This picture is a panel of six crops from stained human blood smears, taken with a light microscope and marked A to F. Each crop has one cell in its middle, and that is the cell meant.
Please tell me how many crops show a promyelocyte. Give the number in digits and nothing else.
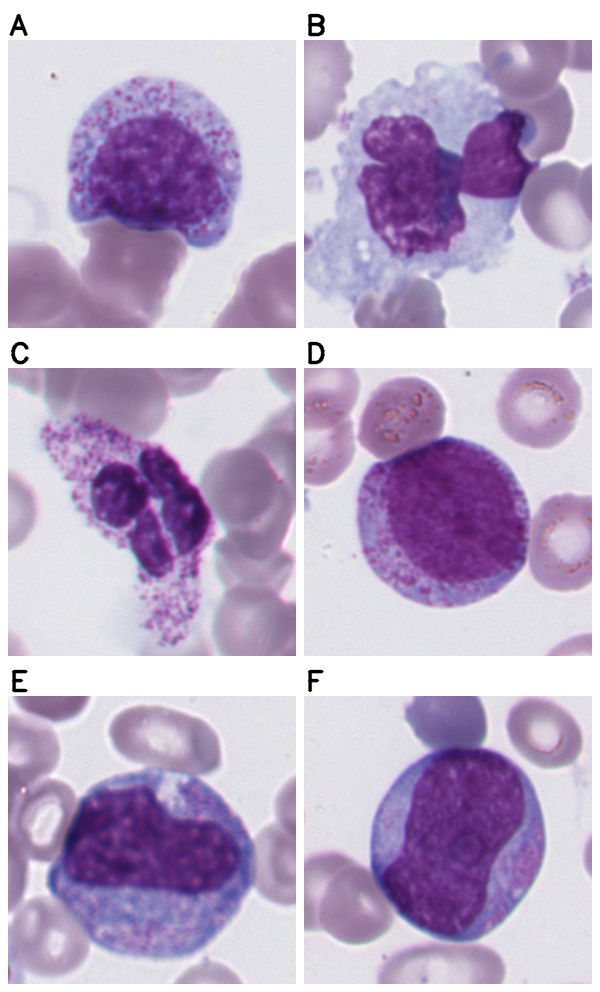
4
